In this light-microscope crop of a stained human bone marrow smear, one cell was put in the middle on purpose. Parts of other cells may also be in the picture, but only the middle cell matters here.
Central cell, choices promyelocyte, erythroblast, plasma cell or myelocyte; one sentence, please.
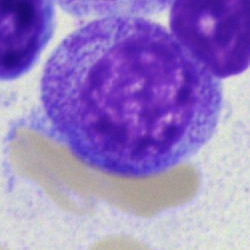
The middle of this crop holds a myelocyte.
